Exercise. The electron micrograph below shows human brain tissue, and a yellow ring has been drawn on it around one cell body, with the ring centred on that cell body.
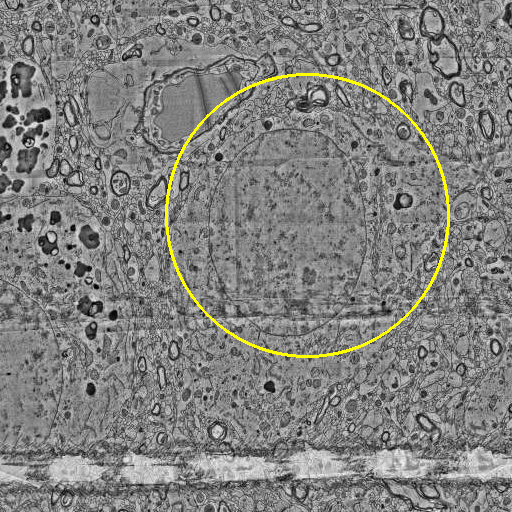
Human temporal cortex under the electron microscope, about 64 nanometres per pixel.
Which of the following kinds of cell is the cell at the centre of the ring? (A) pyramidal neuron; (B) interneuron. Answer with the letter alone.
A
